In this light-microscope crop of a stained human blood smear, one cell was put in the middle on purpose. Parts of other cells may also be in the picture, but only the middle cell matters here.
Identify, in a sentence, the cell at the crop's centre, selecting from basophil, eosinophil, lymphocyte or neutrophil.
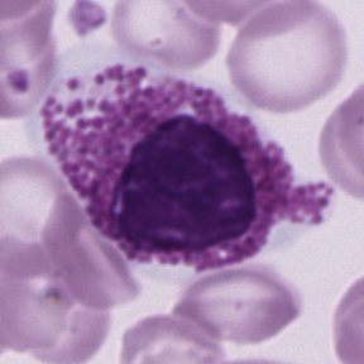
The cell centred in this crop is categorized as an eosinophil.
